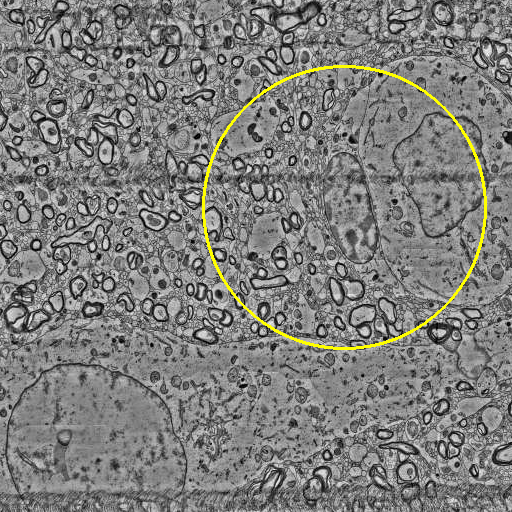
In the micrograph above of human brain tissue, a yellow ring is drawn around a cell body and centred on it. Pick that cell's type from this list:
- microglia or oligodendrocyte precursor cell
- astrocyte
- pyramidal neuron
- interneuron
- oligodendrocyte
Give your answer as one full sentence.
Going by the list, a microglial cell or oligodendrocyte precursor cell is the cell on which the yellow ring is centred.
